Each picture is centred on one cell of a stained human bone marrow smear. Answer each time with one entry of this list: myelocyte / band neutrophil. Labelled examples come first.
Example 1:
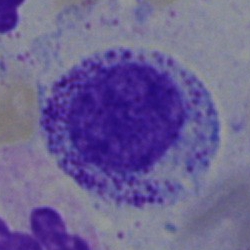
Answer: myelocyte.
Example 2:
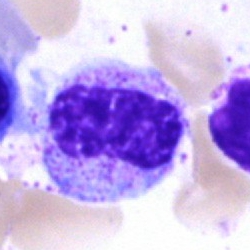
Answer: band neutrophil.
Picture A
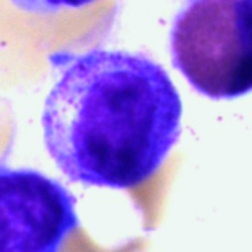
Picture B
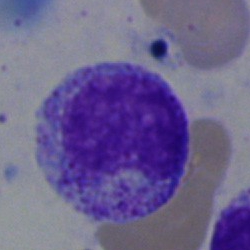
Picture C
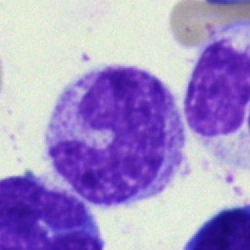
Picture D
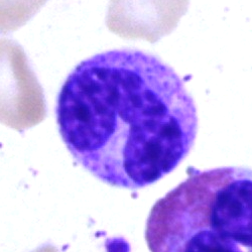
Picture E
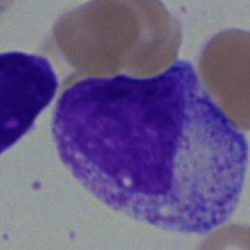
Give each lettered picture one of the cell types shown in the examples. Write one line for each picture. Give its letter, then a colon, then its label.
A: myelocyte.
B: myelocyte.
C: band neutrophil.
D: band neutrophil.
E: myelocyte.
